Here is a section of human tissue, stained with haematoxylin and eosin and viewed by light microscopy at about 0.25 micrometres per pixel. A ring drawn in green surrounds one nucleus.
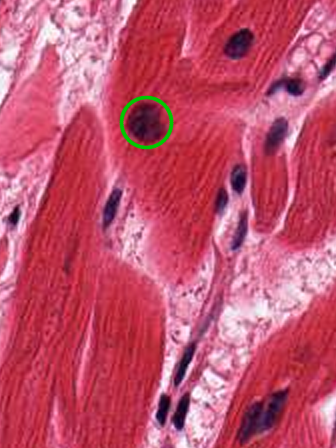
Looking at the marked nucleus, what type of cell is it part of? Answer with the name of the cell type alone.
cardiomyocyte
